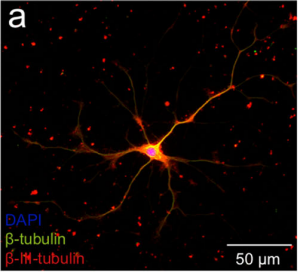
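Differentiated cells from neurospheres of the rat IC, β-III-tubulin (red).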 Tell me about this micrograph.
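Cultured neuron, a single cell with a blue nucleus in a small central cell body. Many long, thin, branching processes stained red-orange radiate outward across the field. Small red dots are scattered over the background.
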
